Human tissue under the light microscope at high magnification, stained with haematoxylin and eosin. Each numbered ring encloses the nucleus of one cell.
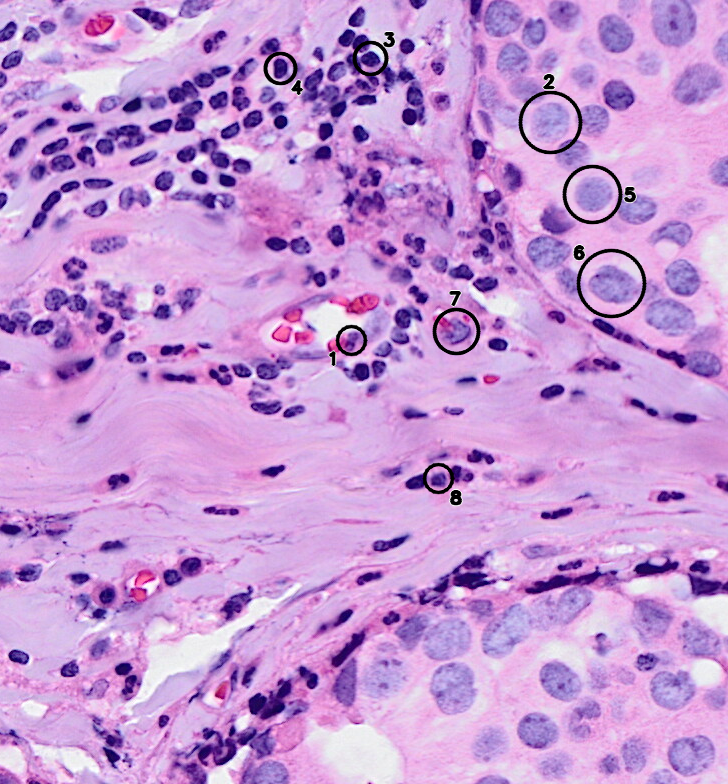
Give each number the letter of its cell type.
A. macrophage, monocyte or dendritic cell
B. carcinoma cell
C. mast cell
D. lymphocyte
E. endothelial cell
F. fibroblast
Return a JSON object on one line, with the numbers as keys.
{"1": "E", "2": "B", "3": "D", "4": "D", "5": "B", "6": "B", "7": "E", "8": "D"}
